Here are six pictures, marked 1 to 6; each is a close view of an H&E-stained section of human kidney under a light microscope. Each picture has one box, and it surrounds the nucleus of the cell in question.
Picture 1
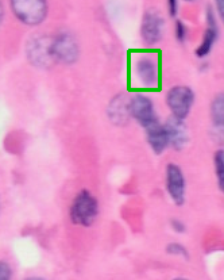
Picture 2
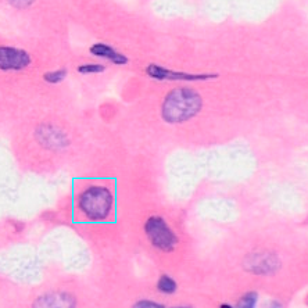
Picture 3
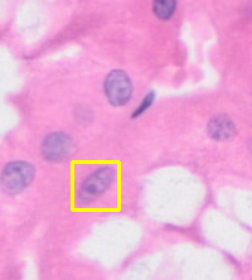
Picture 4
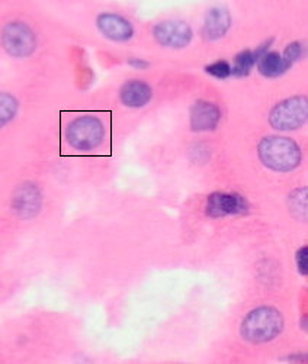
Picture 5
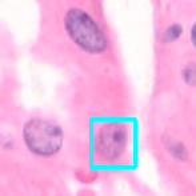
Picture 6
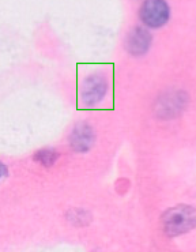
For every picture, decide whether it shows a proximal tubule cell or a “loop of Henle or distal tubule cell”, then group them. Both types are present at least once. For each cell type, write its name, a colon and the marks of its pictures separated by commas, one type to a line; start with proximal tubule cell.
proximal tubule cell: 2, 3, 4, 5
loop of Henle or distal tubule cell: 1, 6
